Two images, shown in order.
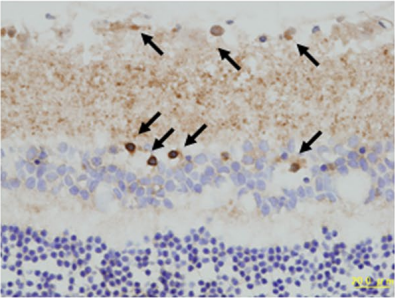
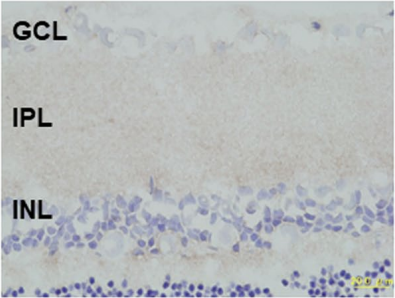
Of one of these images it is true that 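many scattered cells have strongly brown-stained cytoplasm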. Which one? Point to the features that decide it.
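The first image. Second image: only faint pale brown background, nuclei blue, no strongly brown cells. First image: several round cells with dark brown cytoplasm in the top cell row and at the upper edge of the nuclear layer, and a brown granular band.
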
